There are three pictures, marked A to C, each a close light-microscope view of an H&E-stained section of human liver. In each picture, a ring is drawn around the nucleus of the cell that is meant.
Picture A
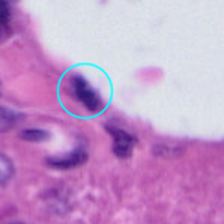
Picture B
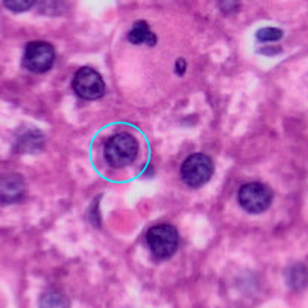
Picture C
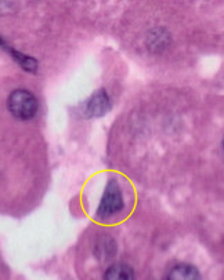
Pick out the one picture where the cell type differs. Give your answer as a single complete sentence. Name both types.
Picture B is the odd one out: it shows a hepatocyte, while the others show “fibroblasts or stellate cells”.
